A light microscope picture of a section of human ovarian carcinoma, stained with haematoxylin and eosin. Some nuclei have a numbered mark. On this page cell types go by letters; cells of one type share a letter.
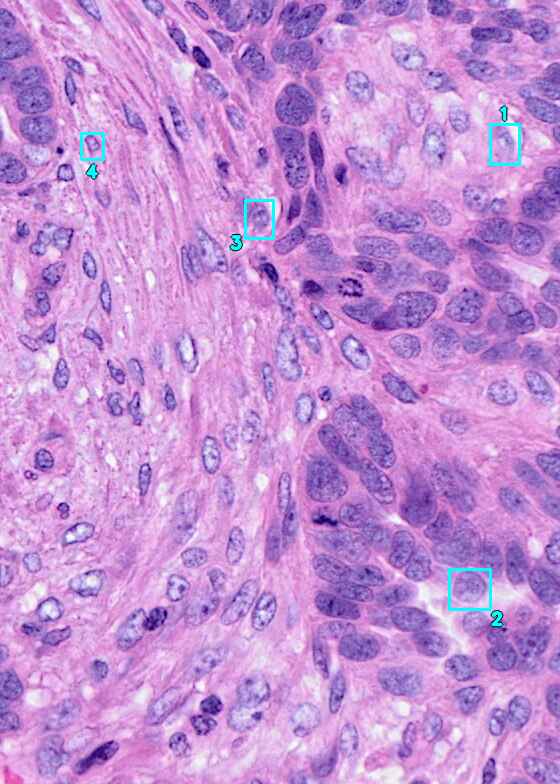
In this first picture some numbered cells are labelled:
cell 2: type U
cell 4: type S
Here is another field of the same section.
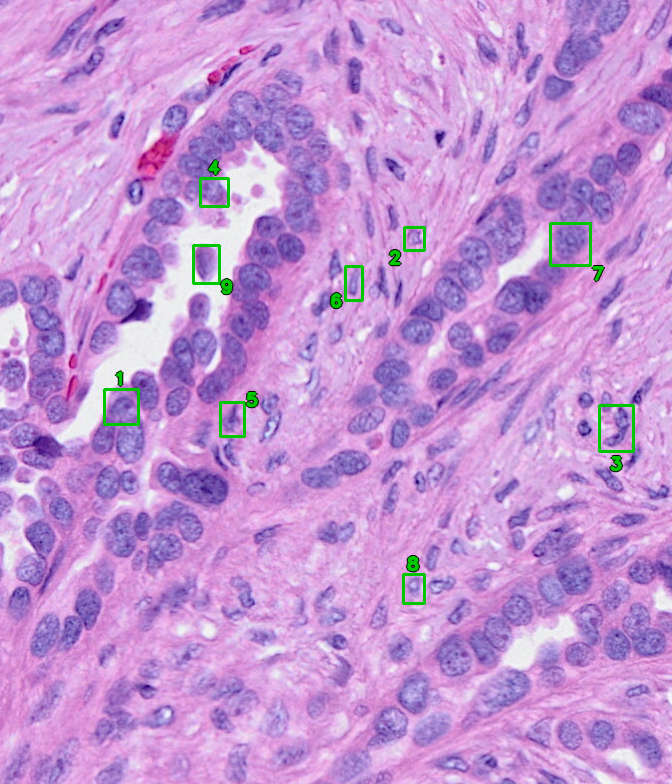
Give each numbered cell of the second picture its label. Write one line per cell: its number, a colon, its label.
1: type U
2: type S
3: type S
4: type U
5: type S
6: type S
7: type U
8: type S
9: type U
